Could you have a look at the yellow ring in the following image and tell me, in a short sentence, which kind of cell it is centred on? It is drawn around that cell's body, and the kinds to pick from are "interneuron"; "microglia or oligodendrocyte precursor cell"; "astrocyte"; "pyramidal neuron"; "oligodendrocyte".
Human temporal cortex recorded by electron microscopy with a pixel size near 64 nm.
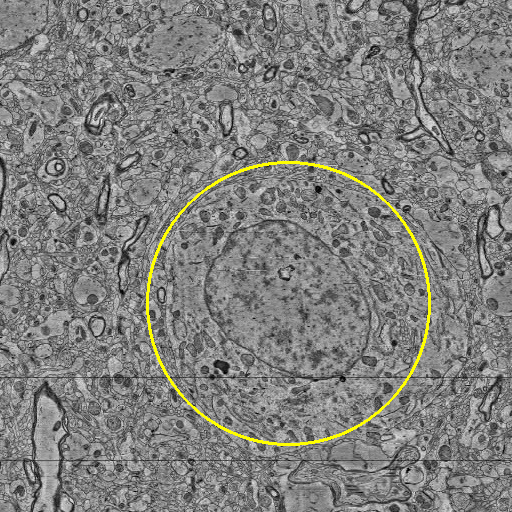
The ring is centred on the body of an interneuron.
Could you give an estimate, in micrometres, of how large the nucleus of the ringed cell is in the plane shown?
In this plane, approximately 12 by 9 micrometers.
